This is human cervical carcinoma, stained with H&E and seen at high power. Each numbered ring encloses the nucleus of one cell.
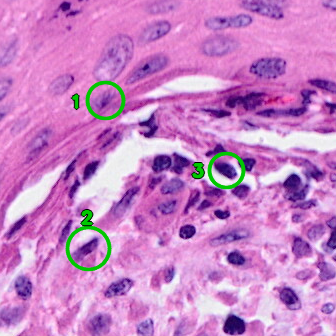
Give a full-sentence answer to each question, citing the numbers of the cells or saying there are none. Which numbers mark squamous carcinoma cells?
Only the cell carrying number 1 is a squamous carcinoma cell.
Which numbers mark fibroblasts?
Among the numbered nuclei, only the one labelled 2 belongs to a fibroblast.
